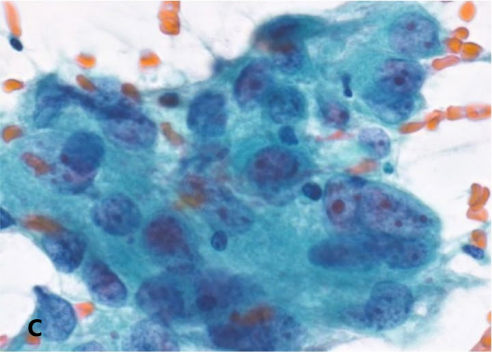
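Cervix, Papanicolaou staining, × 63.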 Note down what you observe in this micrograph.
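The nuclei are large, round to oval and fairly regular in outline, most sitting centrally, a few toward the edge of the cell. Their chromatin is increased and granular, and many show one or a few prominent red-purple nucleoli. Orange-red blood cells lie at the margins of the cluster. These are the malignant cells of an adenocarcinoma-type smear with enlarged nuclei and conspicuous nucleoli.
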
